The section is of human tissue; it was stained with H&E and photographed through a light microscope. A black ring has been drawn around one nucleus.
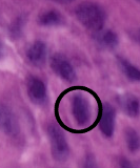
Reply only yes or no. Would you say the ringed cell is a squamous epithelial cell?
yes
